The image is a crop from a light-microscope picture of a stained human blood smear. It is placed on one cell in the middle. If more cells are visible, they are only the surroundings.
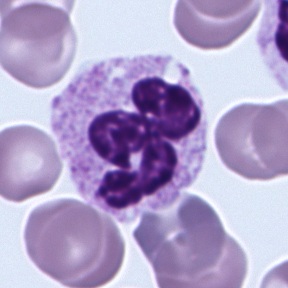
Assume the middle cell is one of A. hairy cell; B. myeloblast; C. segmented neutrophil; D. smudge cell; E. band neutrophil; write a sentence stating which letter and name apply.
At the centre of the crop lies a segmented neutrophil, which makes option C correct.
